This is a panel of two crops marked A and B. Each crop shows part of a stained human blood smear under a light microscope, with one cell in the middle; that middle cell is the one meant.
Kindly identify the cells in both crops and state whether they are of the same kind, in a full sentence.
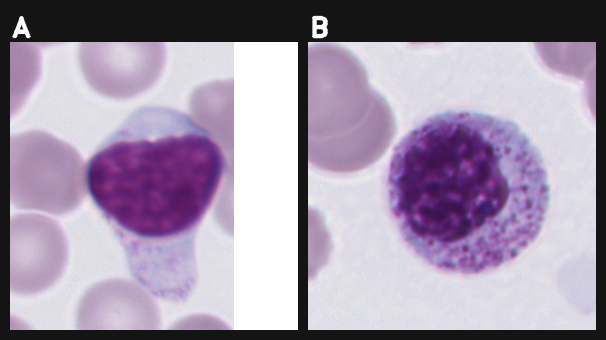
No, shown in crop A is a large granular lymphocyte, and shown in crop B is a myelocyte.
